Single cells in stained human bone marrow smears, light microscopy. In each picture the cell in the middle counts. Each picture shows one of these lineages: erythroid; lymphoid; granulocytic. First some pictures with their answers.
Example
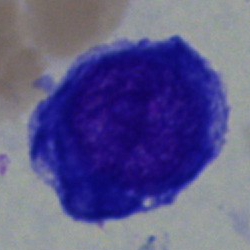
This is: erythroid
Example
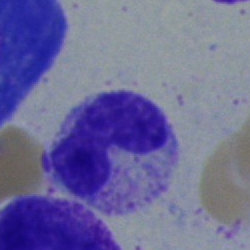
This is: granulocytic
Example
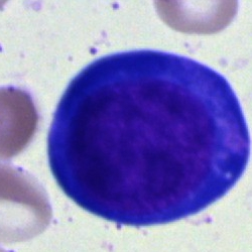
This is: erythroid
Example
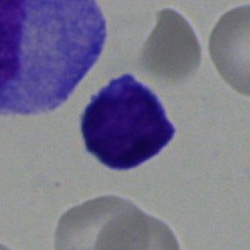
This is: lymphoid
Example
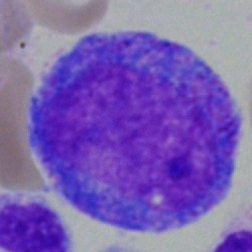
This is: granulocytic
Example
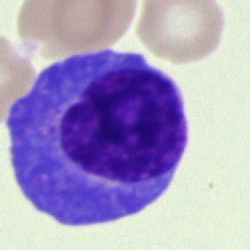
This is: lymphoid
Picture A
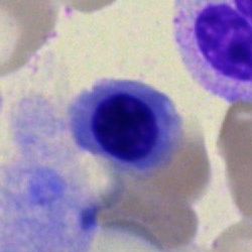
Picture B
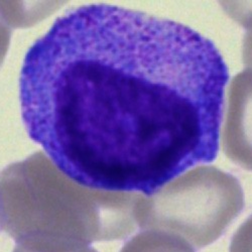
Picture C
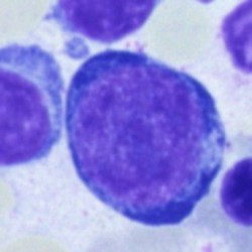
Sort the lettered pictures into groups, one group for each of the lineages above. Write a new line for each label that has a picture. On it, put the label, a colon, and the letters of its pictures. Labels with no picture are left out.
erythroid: A, C
granulocytic: B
